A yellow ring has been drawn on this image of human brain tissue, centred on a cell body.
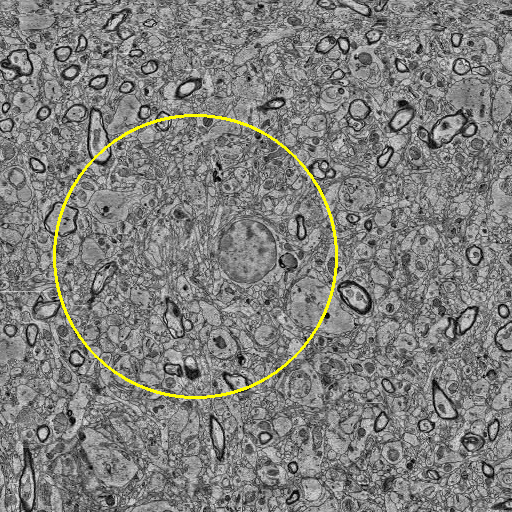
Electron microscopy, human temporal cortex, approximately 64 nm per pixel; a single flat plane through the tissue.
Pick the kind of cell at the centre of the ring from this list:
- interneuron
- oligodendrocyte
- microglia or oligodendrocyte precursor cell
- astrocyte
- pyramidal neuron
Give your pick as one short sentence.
The centre of the ring holds a microglial cell or oligodendrocyte precursor cell.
